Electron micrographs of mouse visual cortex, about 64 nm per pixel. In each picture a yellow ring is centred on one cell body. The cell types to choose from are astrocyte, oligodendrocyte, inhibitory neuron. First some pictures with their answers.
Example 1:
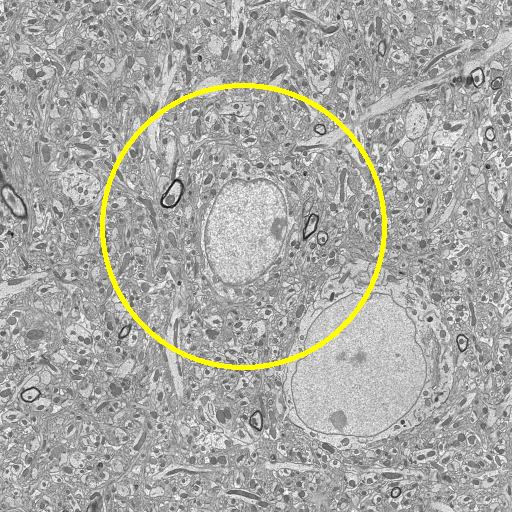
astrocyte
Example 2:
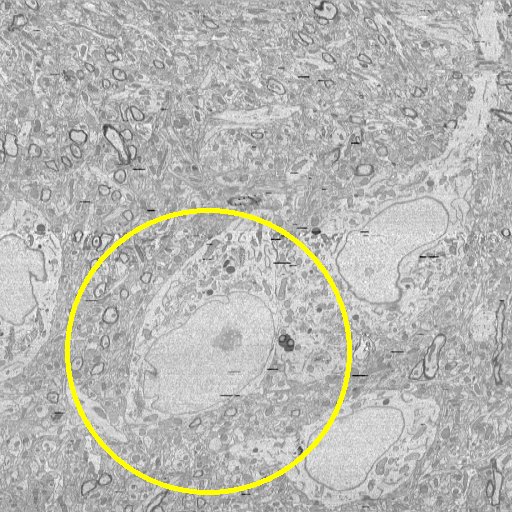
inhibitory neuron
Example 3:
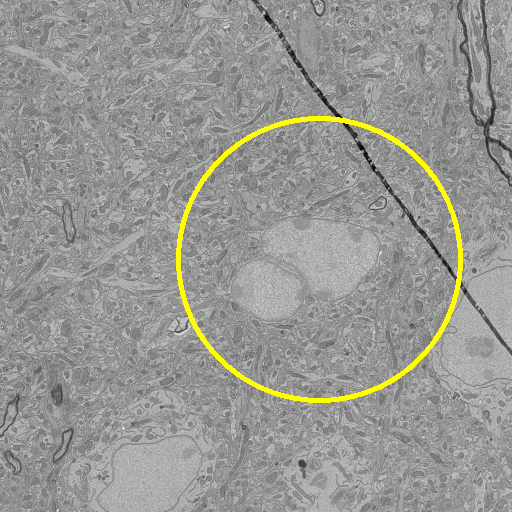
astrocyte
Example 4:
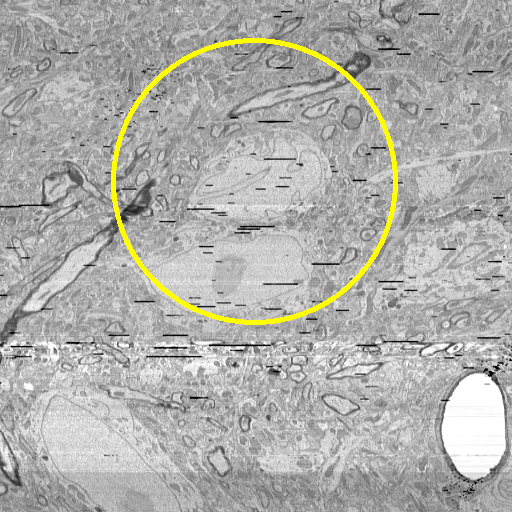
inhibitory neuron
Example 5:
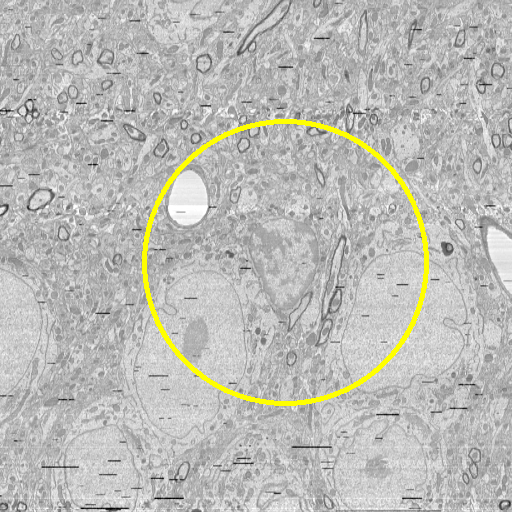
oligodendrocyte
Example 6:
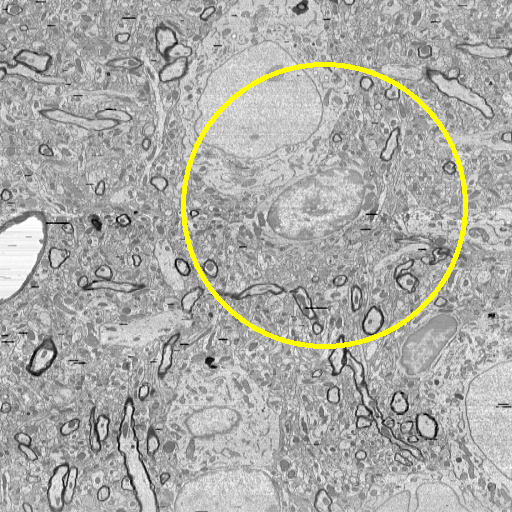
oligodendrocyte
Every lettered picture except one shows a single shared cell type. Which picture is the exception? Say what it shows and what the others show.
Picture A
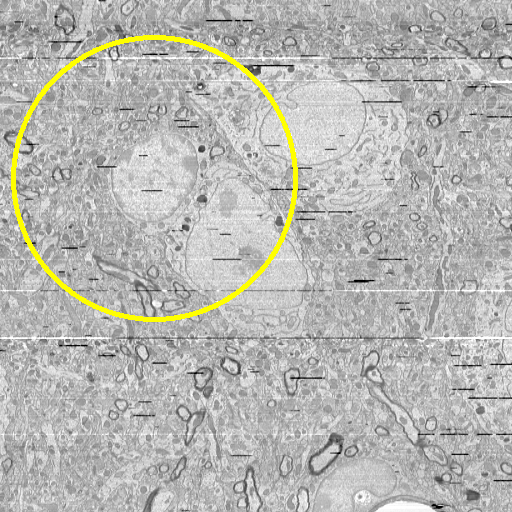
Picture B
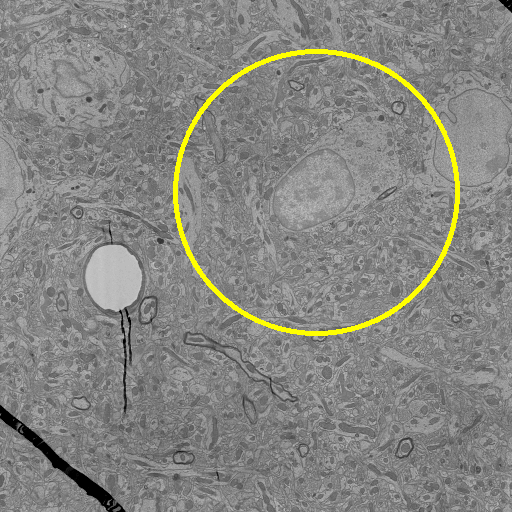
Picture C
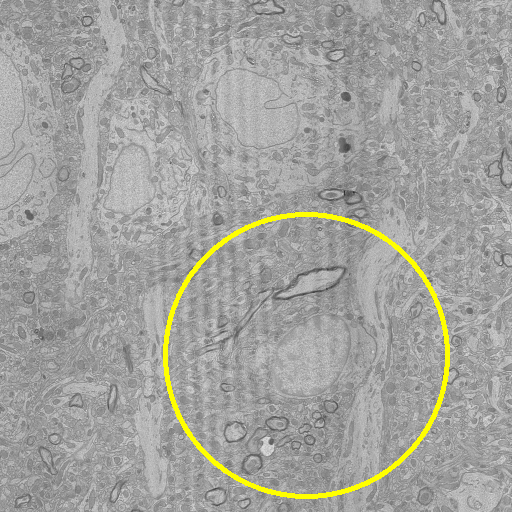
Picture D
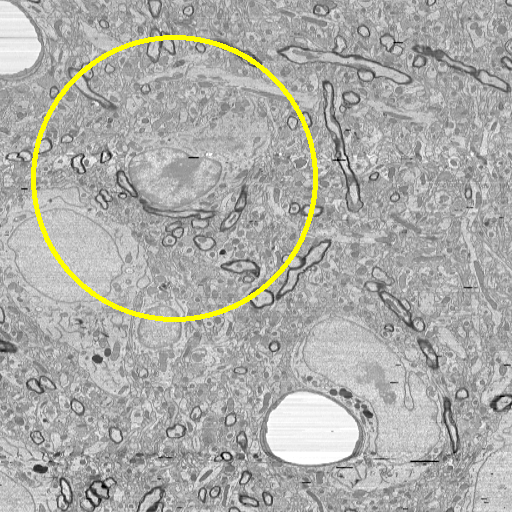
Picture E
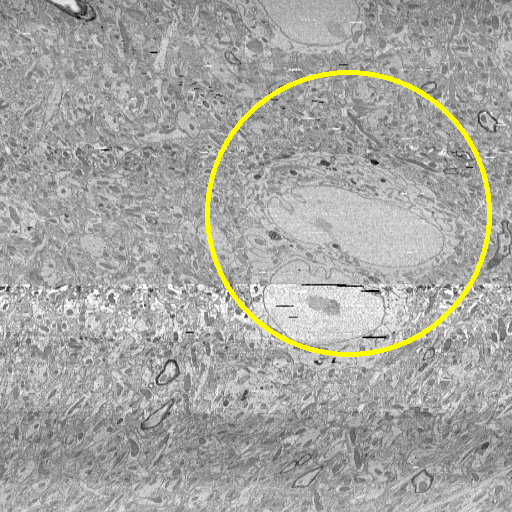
Different: E, inhibitory neuron. Others: oligodendrocyte.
